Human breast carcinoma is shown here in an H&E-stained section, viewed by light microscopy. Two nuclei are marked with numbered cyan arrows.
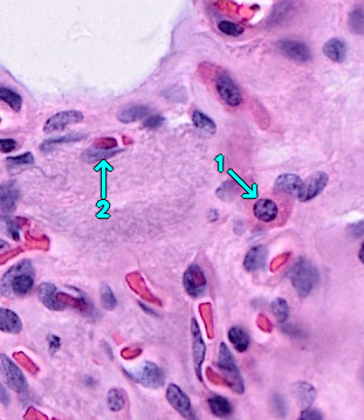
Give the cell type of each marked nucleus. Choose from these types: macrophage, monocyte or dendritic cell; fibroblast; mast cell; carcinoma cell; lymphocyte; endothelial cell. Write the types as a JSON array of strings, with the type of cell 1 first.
["mast cell", "endothelial cell"]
